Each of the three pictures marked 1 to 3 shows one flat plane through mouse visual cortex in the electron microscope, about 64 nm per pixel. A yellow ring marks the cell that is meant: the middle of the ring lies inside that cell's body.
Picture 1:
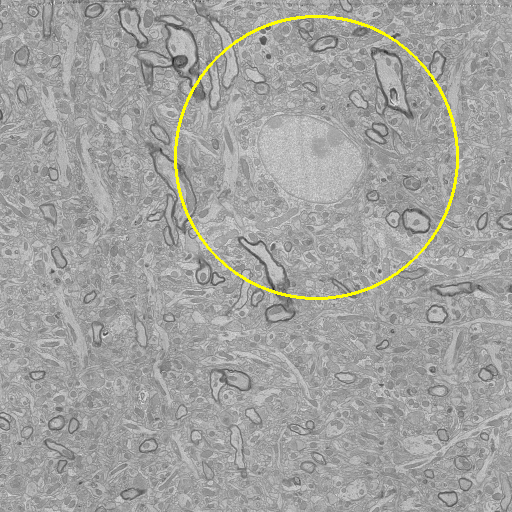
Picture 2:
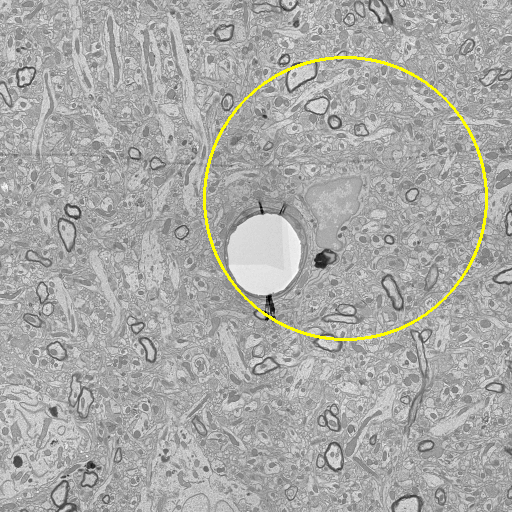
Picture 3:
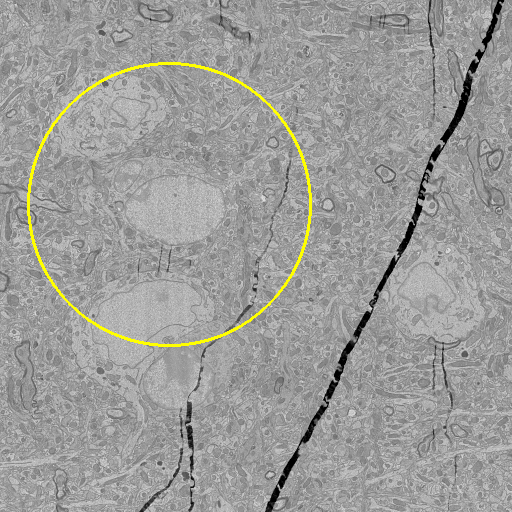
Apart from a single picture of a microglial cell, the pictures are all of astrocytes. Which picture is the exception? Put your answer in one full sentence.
The cell in picture 2 is the microglial cell.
